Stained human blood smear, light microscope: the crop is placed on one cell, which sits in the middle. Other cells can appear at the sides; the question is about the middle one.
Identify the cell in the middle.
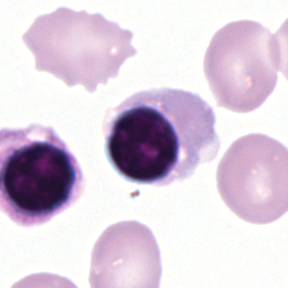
erythroblast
